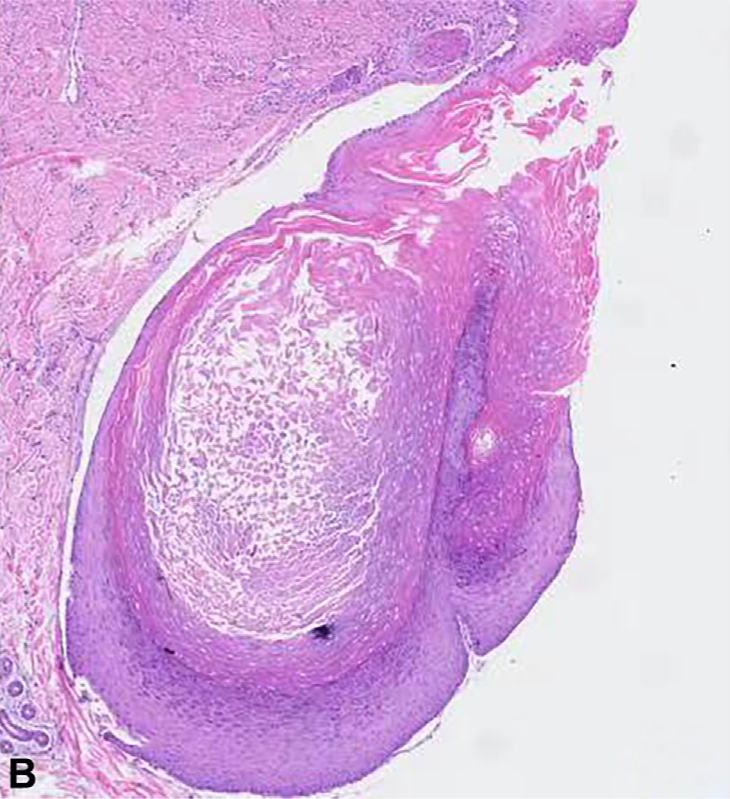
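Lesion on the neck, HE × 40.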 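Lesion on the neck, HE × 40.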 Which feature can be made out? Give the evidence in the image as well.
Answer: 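A cup-shaped invagination of epidermis extends down into the dermis. It opens toward the surface at the upper right. Its center is filled with pale eosinophilic fragmented material. On this evidence: transepidermal perforating channel.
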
